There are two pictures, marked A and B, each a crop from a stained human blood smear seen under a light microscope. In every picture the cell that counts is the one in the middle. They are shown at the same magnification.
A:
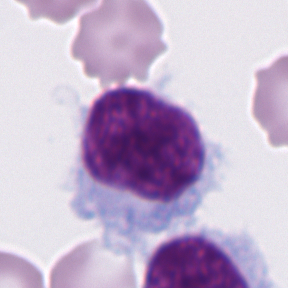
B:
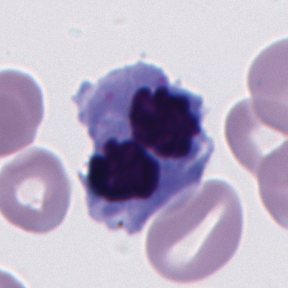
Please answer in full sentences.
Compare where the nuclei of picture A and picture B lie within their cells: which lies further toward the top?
It is the nucleus in picture A that lies further toward the top of its cell.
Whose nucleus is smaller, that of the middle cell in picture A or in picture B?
Smaller is the nucleus in picture B, and the other is about 1.5 times as large in area.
